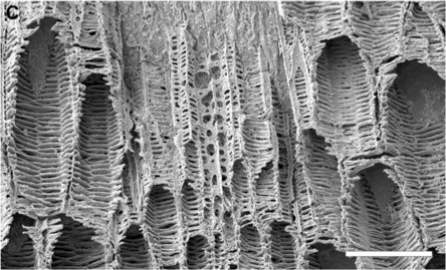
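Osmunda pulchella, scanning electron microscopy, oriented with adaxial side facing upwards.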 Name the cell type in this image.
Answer: Metaxylem tracheids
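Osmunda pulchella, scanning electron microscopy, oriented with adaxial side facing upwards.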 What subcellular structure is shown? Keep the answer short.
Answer: Scalariform wall thickenings.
